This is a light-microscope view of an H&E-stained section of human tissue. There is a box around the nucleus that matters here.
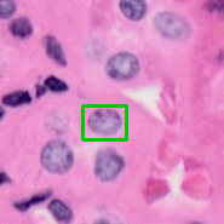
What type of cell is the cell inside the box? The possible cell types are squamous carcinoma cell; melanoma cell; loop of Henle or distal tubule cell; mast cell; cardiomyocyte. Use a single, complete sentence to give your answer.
Histopathologically, the cell inside the box is a loop of Henle or distal tubule cell.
